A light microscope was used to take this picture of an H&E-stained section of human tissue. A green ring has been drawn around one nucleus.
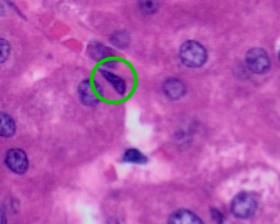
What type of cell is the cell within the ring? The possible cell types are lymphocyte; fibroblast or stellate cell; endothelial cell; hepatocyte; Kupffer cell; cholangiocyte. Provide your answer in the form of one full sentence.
In short, the cell within the ring on this section is a fibroblast or stellate cell.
